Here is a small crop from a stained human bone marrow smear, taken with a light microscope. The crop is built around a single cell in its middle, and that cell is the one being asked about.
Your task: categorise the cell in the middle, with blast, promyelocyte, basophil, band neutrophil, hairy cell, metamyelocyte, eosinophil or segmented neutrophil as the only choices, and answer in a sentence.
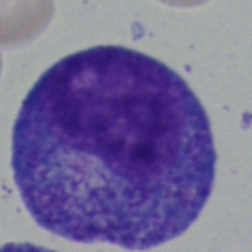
Seen at the centre of the crop is a promyelocyte.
